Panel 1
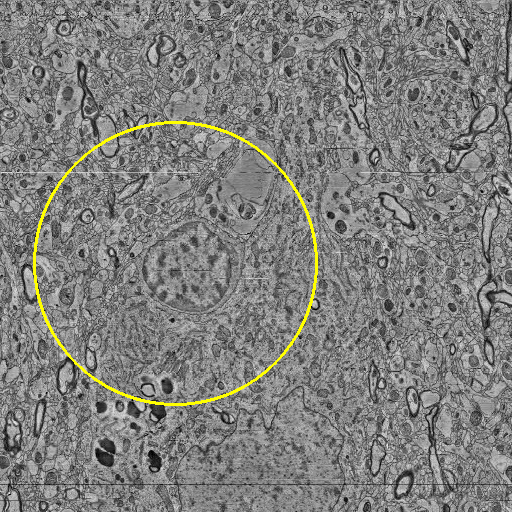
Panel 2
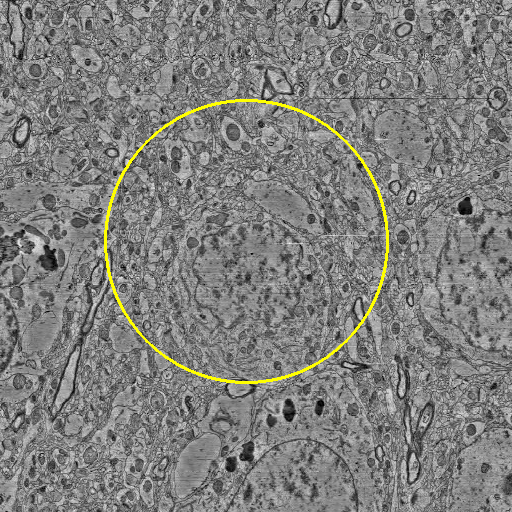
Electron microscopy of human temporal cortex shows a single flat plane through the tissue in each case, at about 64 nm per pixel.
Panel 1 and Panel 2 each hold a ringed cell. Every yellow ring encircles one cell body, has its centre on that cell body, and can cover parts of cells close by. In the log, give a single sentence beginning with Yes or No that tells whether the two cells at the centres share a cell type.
No, in Panel 1 and Panel 2 the centred cells are of two cell types.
